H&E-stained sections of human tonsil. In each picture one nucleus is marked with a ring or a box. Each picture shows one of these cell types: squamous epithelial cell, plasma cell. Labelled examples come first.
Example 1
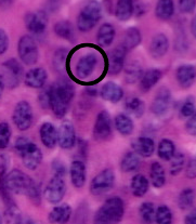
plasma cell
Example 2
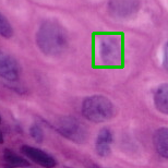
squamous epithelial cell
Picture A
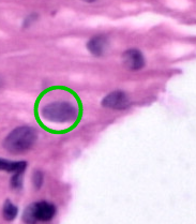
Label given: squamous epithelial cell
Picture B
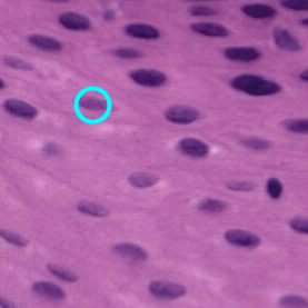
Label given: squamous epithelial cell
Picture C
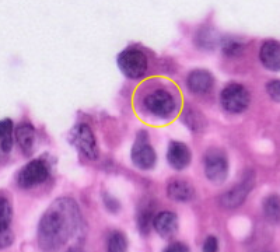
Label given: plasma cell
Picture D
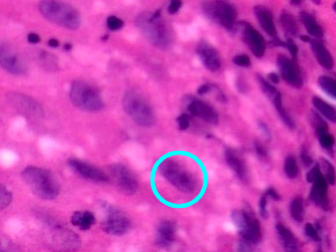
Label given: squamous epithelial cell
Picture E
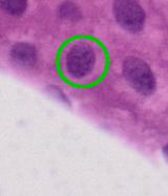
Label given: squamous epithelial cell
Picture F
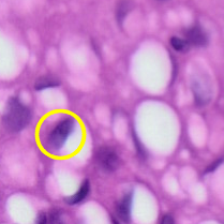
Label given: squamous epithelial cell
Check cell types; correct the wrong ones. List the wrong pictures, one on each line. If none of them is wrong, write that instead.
None of the labels needs changing.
